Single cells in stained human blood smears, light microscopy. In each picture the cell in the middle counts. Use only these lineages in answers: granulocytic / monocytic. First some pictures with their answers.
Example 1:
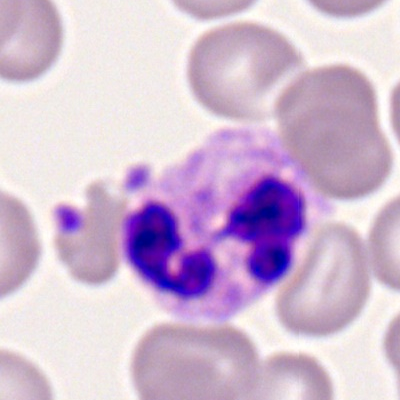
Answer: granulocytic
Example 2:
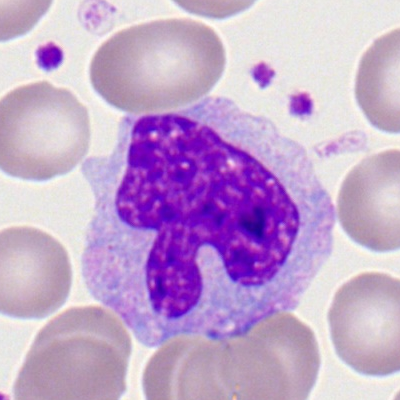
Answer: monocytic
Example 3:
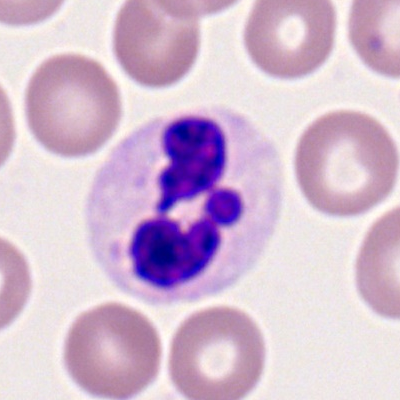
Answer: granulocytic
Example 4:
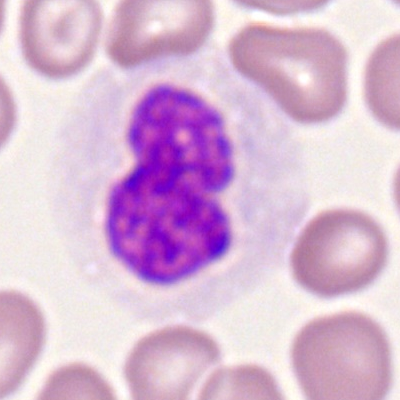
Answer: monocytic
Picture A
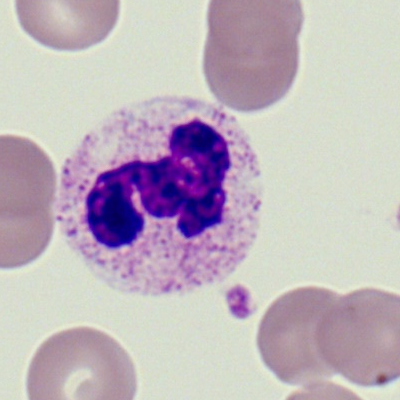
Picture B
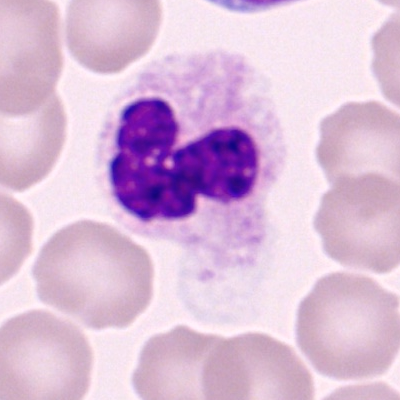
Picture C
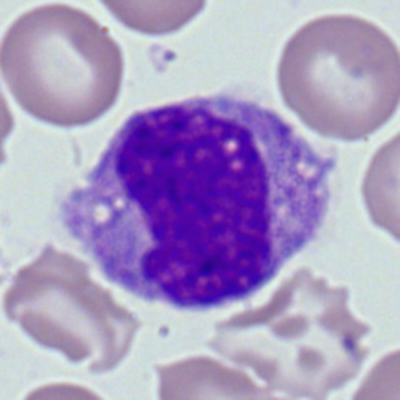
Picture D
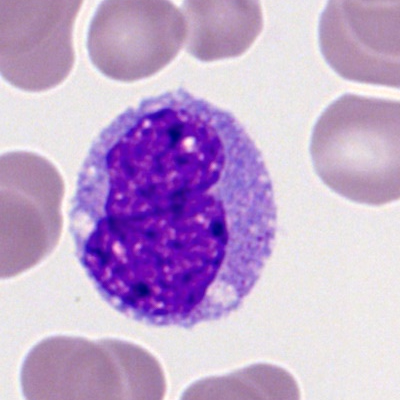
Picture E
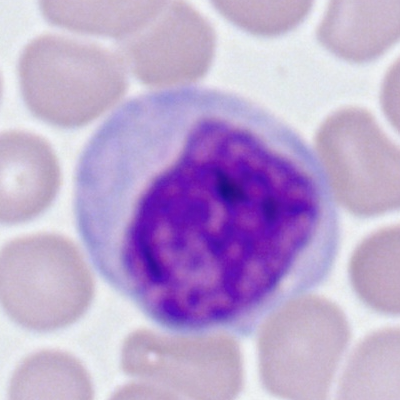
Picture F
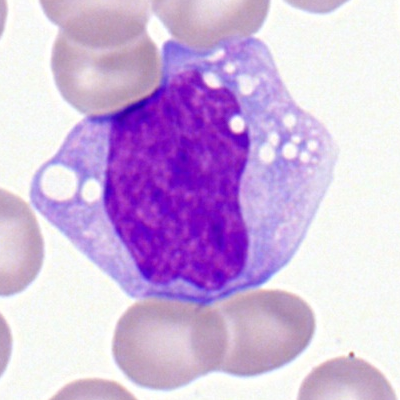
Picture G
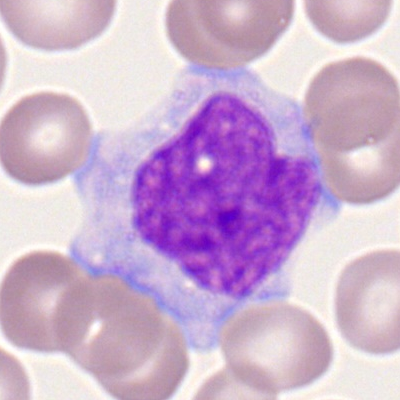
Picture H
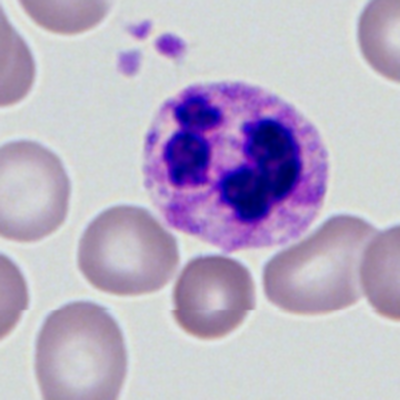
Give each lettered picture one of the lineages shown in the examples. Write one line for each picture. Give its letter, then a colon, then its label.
A: granulocytic
B: granulocytic
C: monocytic
D: monocytic
E: monocytic
F: monocytic
G: monocytic
H: granulocytic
